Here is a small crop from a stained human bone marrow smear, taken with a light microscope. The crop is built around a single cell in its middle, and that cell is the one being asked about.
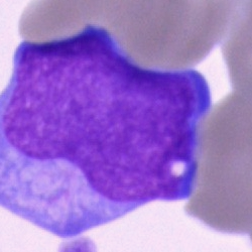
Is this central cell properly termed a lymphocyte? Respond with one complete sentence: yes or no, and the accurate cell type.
No, the label for the central cell is a blast, not a lymphocyte.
